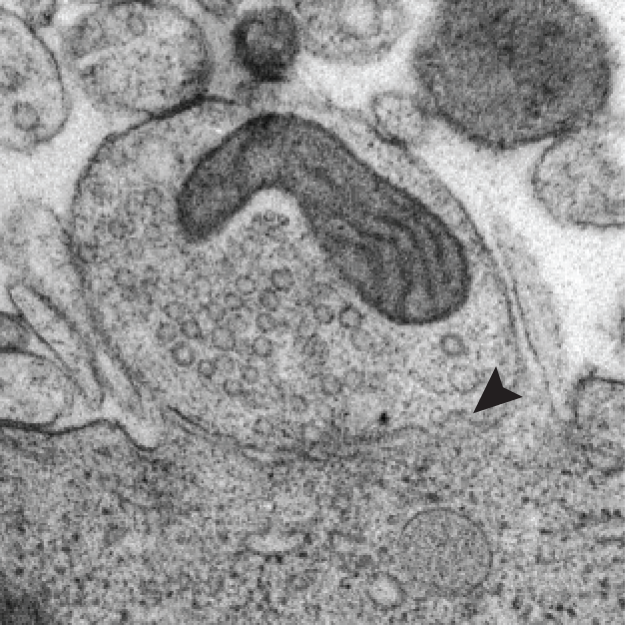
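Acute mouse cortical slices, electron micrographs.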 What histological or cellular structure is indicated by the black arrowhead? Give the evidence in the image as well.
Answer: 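The arrowhead points at the plasma membrane of a profile filled with small round vesicles. No dark coat is visible at the marked membrane. On this evidence: uncoated endocytic pits.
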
